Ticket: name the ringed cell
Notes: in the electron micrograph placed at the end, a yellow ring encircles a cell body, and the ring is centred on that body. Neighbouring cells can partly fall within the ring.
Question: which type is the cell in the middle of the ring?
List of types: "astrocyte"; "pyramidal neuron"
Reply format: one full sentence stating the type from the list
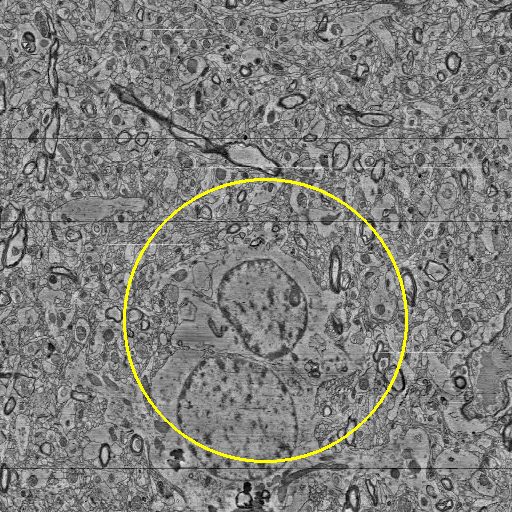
The cell sitting at the centre of the yellow ring is an astrocyte.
